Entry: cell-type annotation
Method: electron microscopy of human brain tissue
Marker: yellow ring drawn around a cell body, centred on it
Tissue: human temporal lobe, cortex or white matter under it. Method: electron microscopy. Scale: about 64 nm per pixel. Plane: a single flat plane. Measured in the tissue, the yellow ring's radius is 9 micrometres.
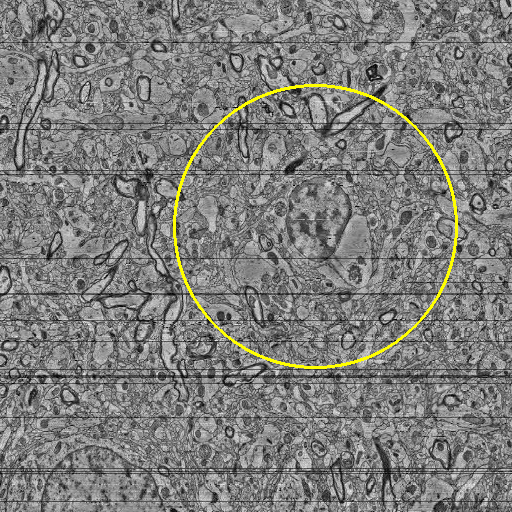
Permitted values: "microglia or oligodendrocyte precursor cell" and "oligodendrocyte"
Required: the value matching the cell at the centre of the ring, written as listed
microglia or oligodendrocyte precursor cell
